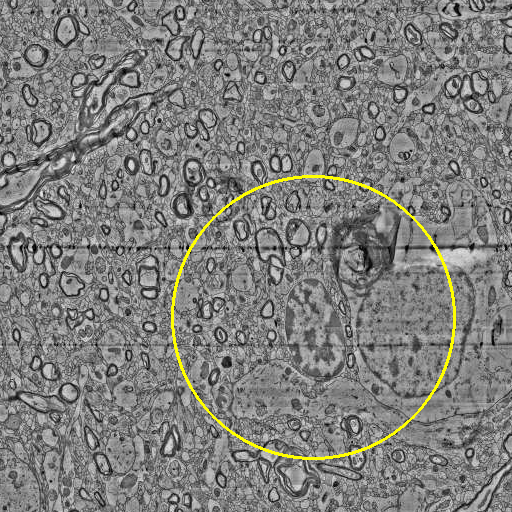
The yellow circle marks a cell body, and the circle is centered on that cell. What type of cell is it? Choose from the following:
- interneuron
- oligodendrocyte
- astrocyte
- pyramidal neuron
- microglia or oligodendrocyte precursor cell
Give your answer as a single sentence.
This cell body belongs to a microglial cell or oligodendrocyte precursor cell.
